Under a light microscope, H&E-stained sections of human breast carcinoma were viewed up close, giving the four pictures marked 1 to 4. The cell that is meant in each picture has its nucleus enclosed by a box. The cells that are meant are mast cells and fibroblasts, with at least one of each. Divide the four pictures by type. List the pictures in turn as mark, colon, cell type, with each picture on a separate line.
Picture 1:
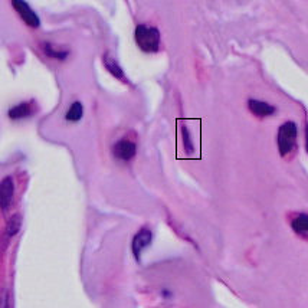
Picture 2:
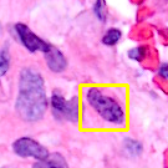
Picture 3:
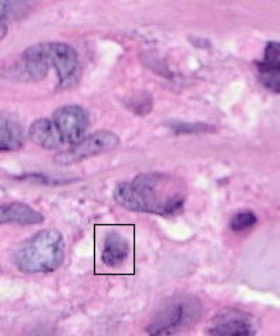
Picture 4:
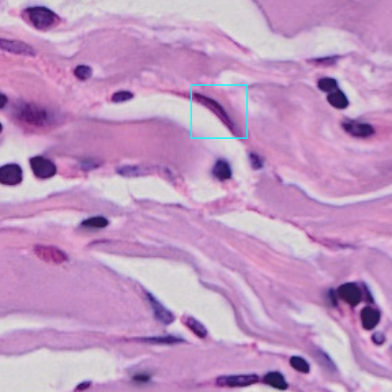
1: fibroblast
2: mast cell
3: mast cell
4: fibroblast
